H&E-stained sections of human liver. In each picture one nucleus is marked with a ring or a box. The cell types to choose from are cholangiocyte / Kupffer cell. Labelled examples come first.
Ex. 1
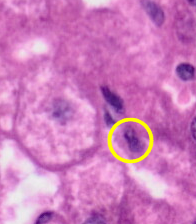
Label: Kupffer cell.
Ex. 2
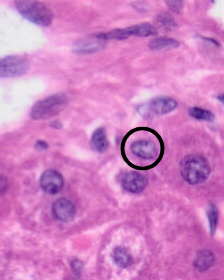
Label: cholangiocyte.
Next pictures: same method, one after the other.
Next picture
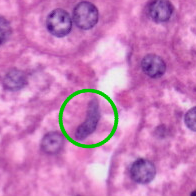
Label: Kupffer cell.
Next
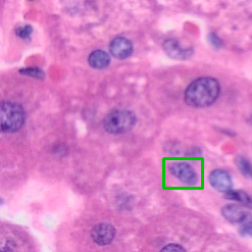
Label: cholangiocyte.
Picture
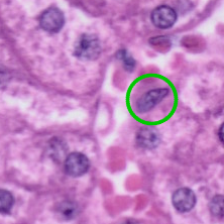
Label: Kupffer cell.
